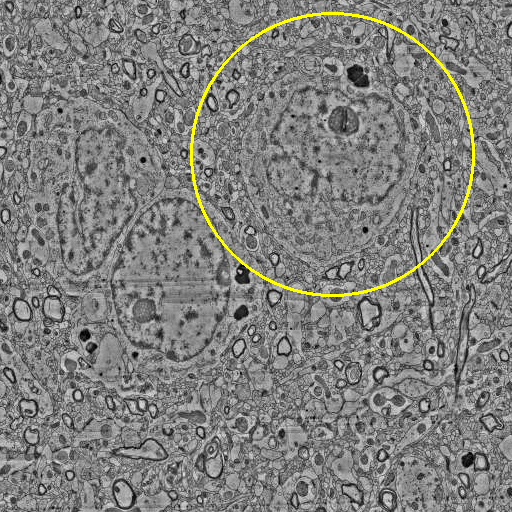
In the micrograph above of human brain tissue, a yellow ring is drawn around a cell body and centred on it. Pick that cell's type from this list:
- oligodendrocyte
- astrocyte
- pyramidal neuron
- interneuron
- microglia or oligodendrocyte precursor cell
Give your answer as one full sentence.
Going by the list, an interneuron is the cell on which the yellow ring is centred.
